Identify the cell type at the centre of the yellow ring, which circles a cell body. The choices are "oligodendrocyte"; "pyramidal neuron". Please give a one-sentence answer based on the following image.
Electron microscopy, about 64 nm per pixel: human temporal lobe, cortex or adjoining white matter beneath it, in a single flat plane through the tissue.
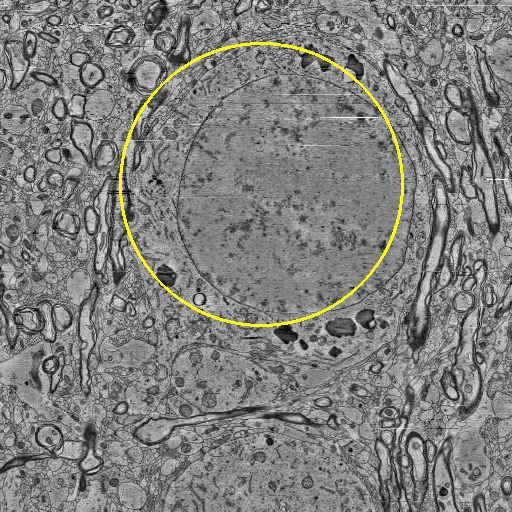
The cell marked by the ring is a pyramidal neuron.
